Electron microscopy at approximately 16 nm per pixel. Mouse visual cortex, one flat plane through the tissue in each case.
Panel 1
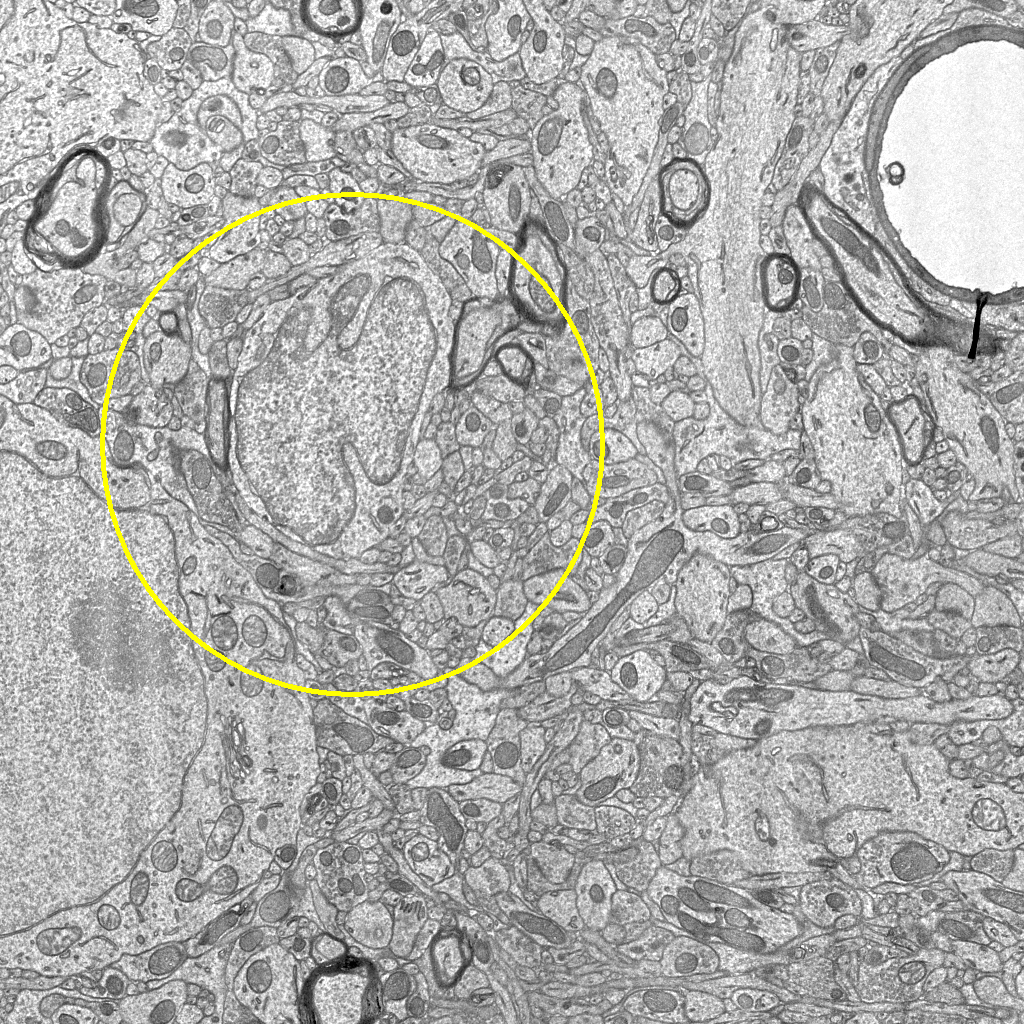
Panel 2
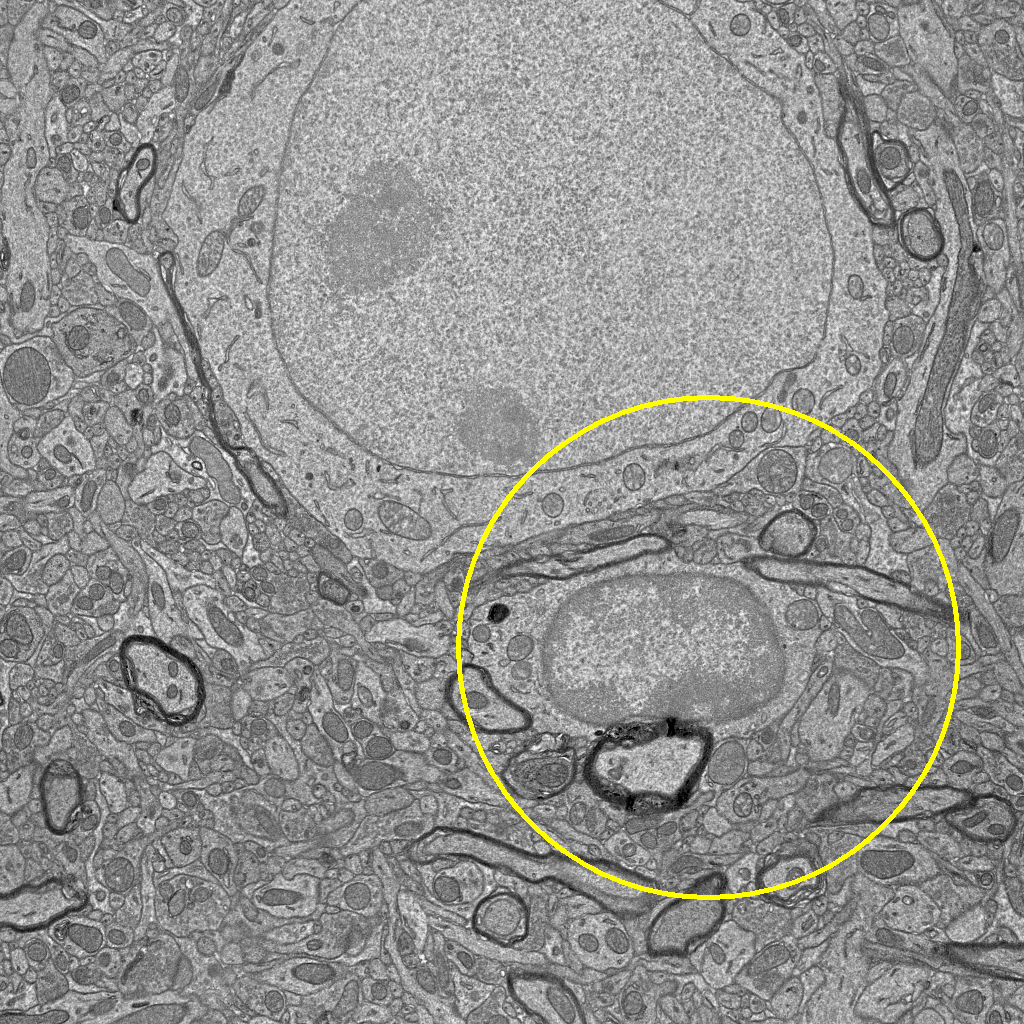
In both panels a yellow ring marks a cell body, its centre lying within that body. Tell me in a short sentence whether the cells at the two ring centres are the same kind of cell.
Yes, they are the same kind of cell.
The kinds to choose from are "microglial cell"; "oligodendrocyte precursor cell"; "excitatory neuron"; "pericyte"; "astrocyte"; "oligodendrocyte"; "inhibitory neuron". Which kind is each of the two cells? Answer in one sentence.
The cell in the first picture is an oligodendrocyte, and so is the one in the second.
